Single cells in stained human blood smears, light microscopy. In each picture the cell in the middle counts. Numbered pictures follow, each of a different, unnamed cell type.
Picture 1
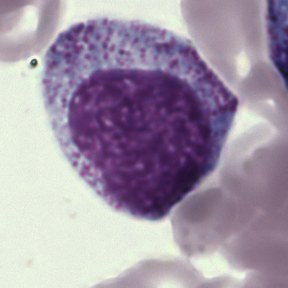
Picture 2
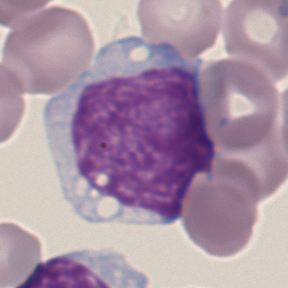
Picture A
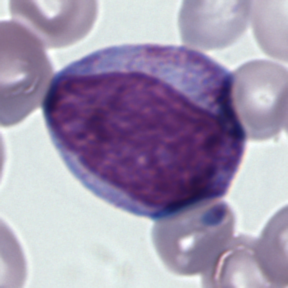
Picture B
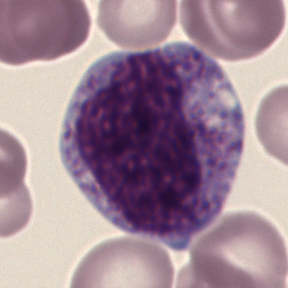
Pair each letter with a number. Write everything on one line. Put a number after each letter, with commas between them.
A 1, B 1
